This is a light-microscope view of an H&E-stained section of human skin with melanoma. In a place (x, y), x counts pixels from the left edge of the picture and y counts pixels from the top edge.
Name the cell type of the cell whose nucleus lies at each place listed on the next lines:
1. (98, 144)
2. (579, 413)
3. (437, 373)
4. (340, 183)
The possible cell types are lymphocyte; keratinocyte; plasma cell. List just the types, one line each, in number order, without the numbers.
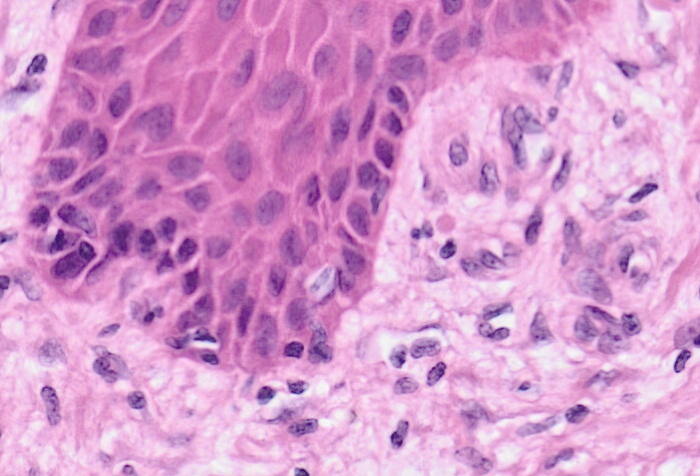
keratinocyte
lymphocyte
lymphocyte
keratinocyte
